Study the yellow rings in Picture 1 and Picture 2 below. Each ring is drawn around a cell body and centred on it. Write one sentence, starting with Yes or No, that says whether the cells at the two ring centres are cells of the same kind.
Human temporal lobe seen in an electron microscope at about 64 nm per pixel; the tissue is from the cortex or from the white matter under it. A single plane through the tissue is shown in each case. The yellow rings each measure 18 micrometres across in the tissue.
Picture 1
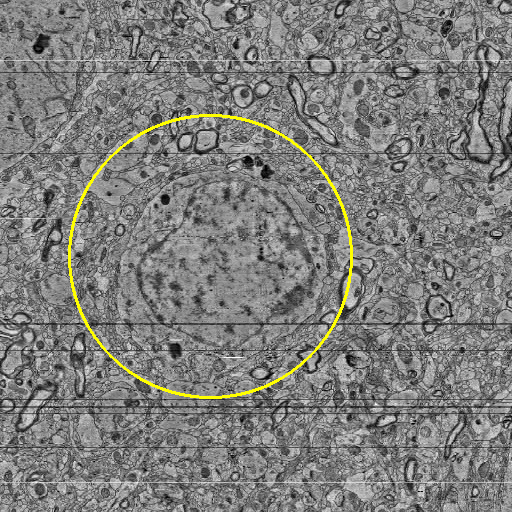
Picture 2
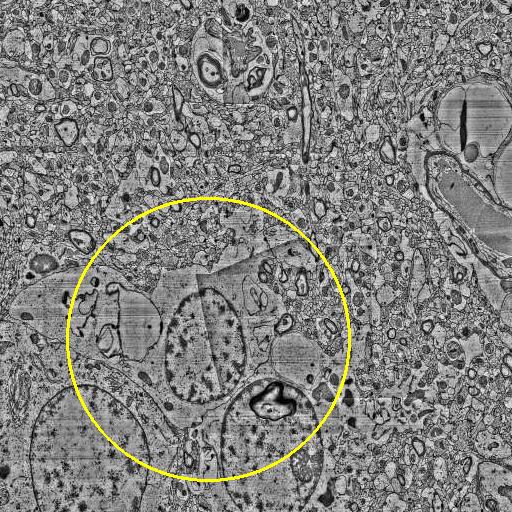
No, the cells at the ring centres are of two kinds.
